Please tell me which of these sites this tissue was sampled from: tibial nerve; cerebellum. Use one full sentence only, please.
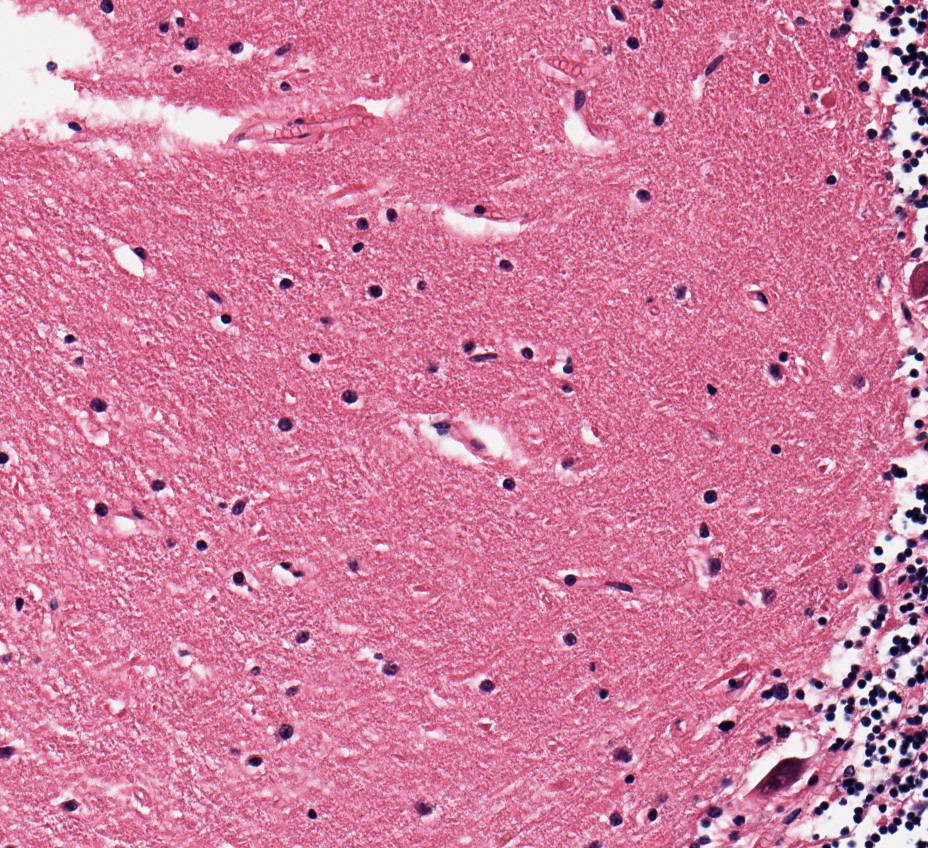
The tissue fragment was taken from the cerebellum.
